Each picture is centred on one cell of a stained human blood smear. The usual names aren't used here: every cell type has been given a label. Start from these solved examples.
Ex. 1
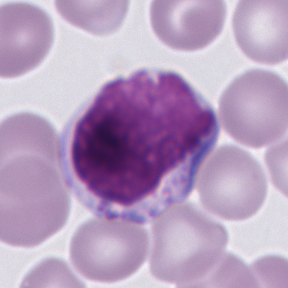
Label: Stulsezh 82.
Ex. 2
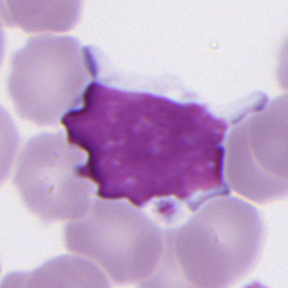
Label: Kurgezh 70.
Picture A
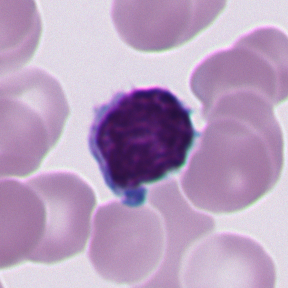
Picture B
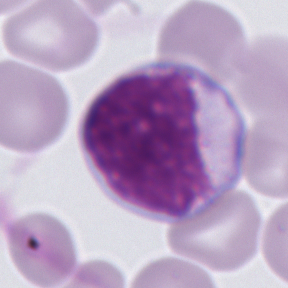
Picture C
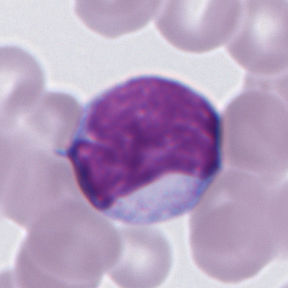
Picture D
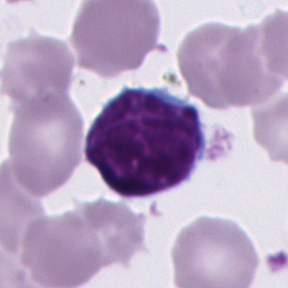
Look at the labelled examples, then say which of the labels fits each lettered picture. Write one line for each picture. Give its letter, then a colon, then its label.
A: Kurgezh 70.
B: Stulsezh 82.
C: Stulsezh 82.
D: Kurgezh 70.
